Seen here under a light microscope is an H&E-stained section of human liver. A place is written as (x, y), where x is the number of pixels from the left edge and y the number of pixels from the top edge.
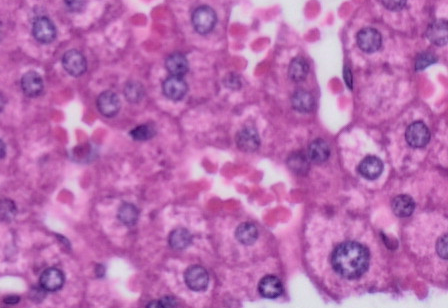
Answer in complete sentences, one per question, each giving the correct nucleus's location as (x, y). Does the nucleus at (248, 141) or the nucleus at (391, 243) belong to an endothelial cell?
Of these two nuclei, only the one at (391, 243) belongs to an endothelial cell.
